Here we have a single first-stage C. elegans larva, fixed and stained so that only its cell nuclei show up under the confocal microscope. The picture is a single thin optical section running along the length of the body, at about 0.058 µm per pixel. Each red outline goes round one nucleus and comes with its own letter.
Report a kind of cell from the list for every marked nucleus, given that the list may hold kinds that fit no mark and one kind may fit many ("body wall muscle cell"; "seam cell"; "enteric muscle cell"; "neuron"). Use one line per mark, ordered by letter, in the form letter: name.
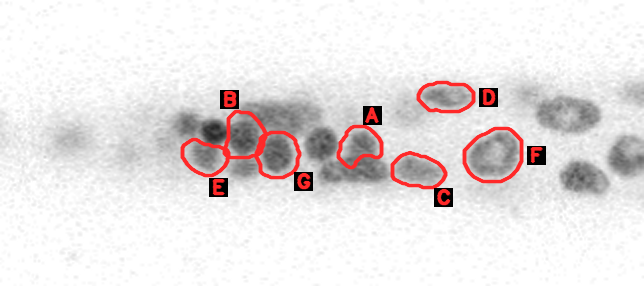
A: enteric muscle cell
B: neuron
C: enteric muscle cell
D: body wall muscle cell
E: neuron
F: seam cell
G: neuron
